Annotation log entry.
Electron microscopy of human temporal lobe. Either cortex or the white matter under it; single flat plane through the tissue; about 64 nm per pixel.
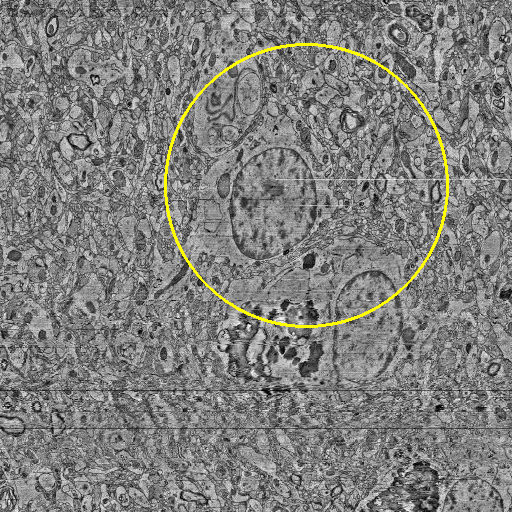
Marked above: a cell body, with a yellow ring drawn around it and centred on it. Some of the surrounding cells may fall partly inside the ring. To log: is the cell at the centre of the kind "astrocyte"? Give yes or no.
Yes, the cell at the centre is of that kind.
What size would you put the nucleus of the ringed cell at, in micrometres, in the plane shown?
About 8 by 5 micrometres in this plane.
